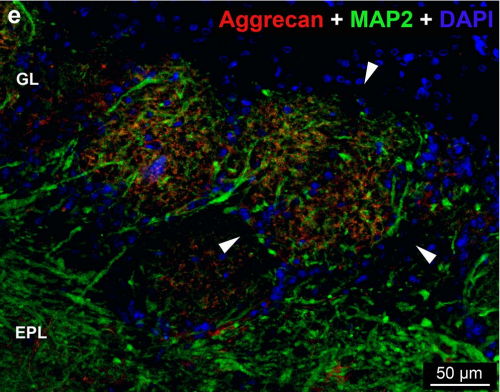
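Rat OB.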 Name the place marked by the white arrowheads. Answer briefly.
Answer: Periglomerular area.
